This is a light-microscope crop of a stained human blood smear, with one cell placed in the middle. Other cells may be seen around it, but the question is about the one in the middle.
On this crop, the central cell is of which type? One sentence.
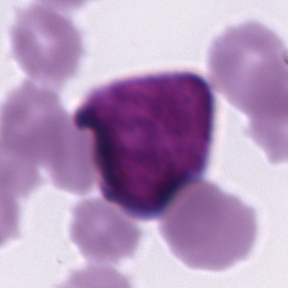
Standing at the centre of this crop is a blast.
